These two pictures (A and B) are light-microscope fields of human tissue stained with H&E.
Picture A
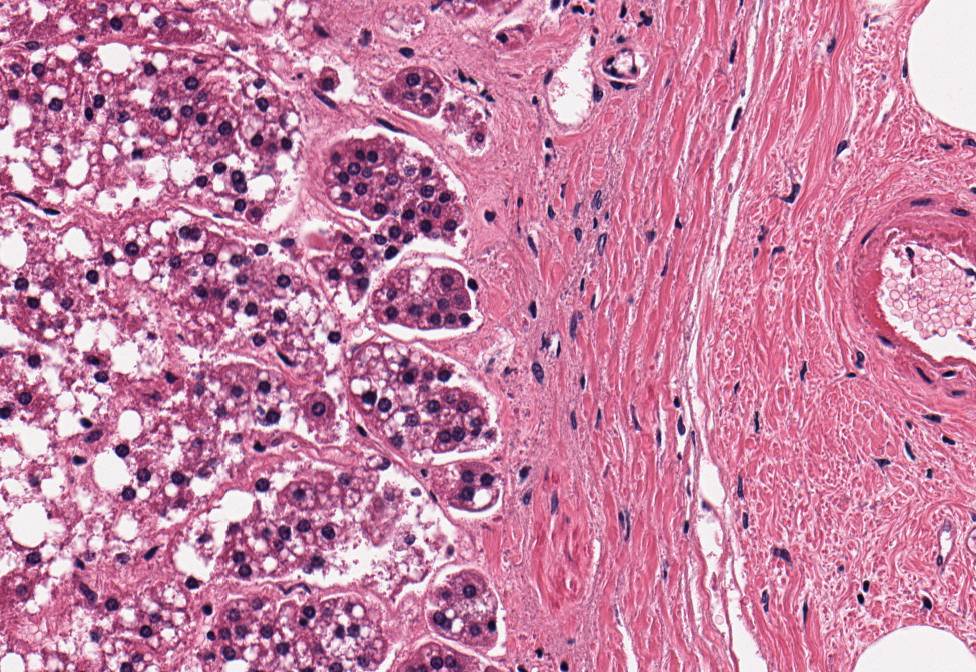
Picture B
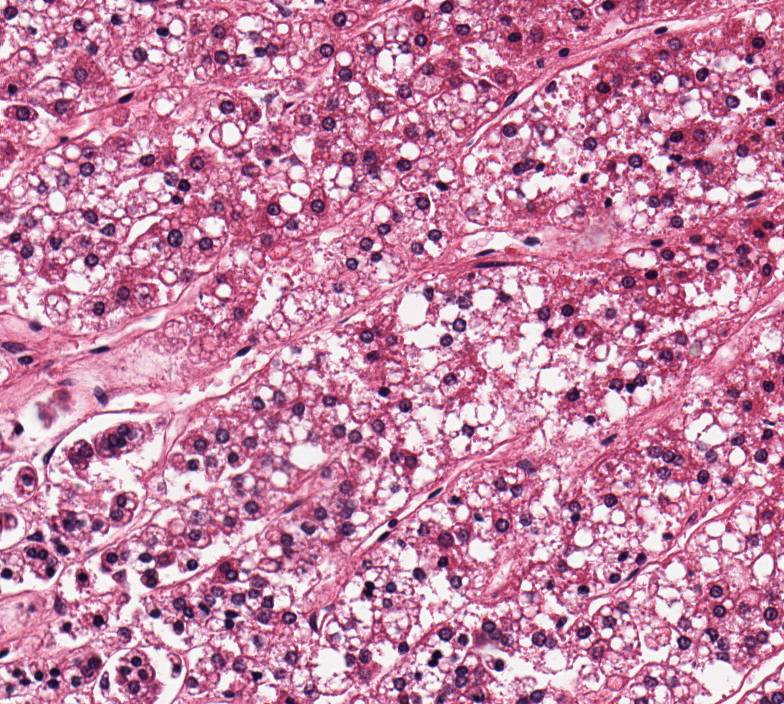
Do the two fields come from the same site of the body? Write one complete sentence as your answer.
Yes; both pictures come from the adrenal gland.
